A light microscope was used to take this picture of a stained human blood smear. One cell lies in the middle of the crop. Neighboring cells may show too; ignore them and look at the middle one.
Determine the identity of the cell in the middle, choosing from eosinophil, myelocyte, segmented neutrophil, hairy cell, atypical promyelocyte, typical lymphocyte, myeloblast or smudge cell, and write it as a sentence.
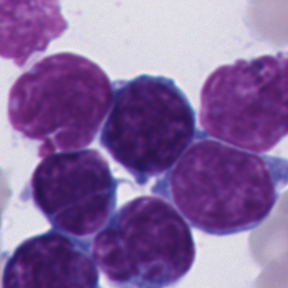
In the middle of this smear crop, the cell is a myeloblast.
